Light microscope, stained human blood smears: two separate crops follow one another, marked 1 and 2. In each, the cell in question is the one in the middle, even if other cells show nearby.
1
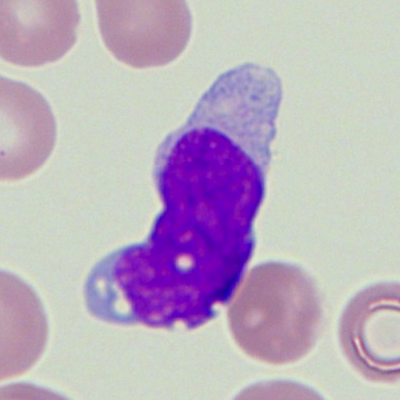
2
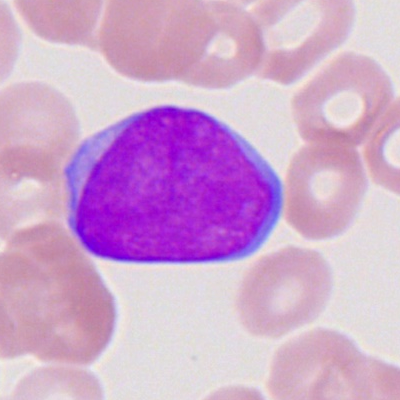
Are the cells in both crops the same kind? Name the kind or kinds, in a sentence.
No, the cell centred in crop 2 is a myeloblast; crop 1 centres on a monocyte.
